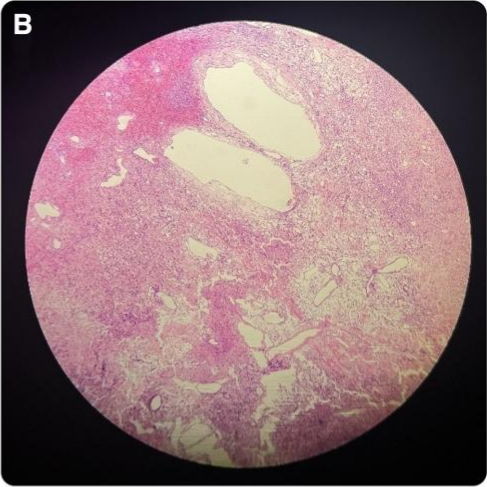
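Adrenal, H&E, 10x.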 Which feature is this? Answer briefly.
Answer: Cavernous vascular spaces.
